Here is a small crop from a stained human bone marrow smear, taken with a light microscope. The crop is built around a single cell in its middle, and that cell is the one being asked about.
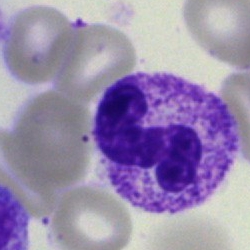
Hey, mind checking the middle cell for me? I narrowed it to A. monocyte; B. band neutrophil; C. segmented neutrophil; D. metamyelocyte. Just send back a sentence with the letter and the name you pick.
Option C holds, for the cell in the middle is a segmented neutrophil.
